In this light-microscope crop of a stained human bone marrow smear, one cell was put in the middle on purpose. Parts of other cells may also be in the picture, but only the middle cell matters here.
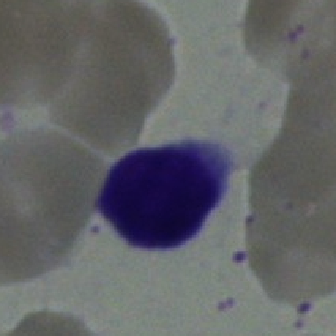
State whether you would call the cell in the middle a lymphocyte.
yes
